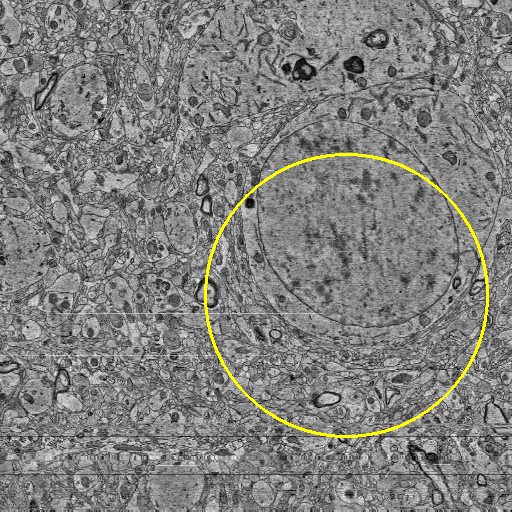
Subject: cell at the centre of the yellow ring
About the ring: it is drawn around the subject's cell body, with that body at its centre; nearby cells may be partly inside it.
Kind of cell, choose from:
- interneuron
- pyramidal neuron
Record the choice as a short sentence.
The subject cell is a pyramidal neuron.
